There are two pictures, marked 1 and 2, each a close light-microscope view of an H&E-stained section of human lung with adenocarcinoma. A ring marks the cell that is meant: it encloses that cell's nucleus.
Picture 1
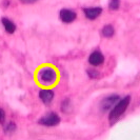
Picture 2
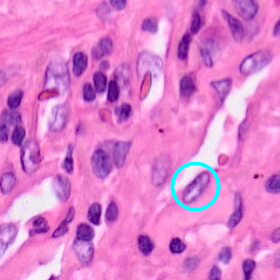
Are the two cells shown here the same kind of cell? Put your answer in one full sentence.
No, picture 1 shows a “smooth muscle cell or pericyte” and picture 2 shows an endothelial cell.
